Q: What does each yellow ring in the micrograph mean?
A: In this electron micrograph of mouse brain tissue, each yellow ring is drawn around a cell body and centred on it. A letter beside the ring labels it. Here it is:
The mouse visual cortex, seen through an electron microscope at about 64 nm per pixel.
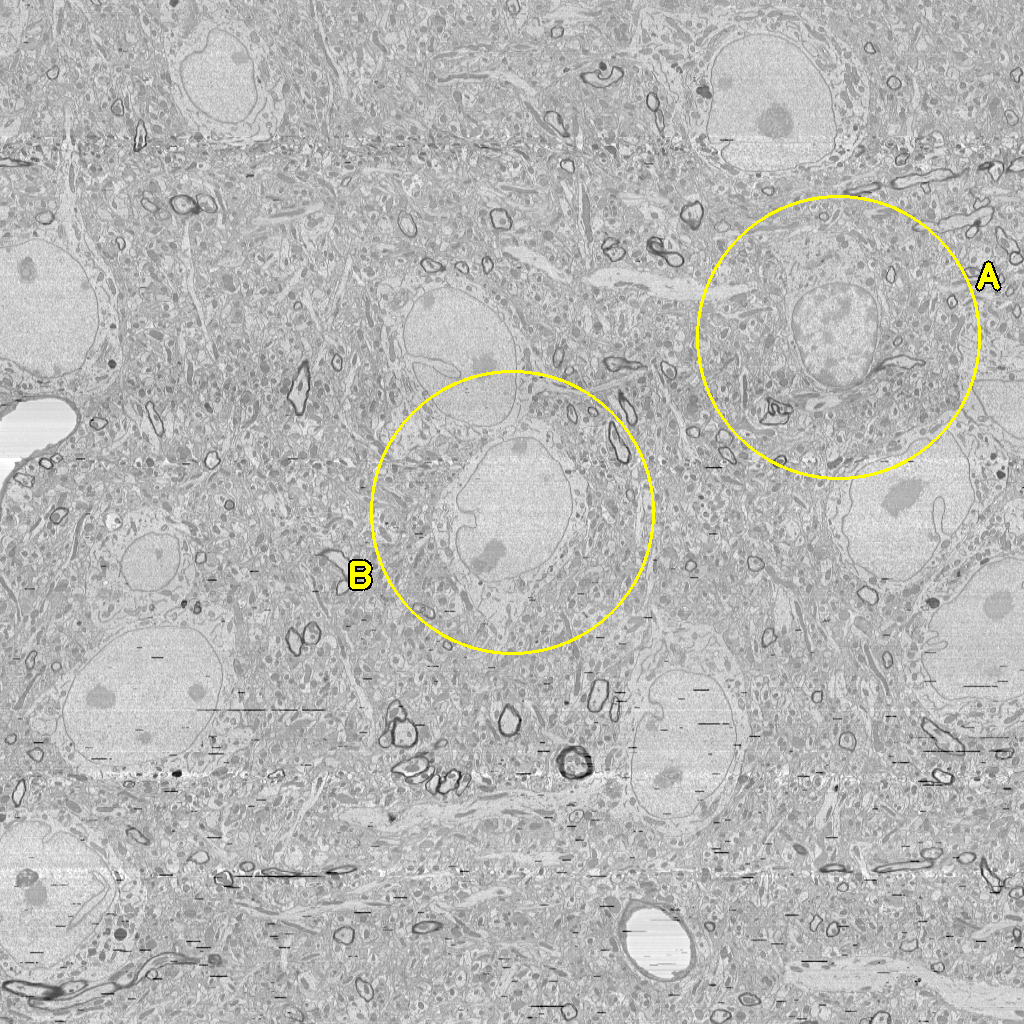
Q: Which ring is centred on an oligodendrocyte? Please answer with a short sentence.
Ring A is the one centred on it.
